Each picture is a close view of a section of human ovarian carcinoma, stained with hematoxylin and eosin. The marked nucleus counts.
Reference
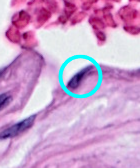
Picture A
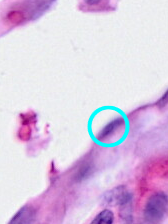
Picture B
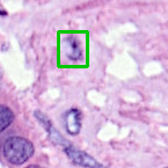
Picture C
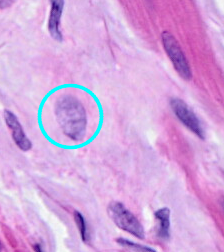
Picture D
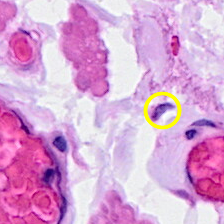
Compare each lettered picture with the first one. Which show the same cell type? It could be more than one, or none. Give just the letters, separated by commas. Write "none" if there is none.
A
